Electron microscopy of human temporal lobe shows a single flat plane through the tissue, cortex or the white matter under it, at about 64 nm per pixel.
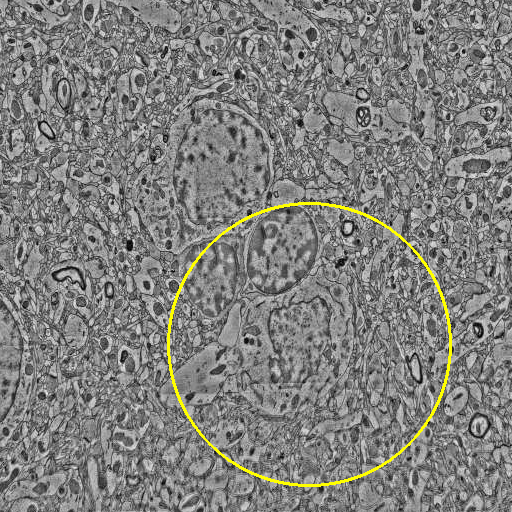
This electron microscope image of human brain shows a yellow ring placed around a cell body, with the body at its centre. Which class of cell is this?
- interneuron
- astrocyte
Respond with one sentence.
The cell body at the ring's centre is an interneuron.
